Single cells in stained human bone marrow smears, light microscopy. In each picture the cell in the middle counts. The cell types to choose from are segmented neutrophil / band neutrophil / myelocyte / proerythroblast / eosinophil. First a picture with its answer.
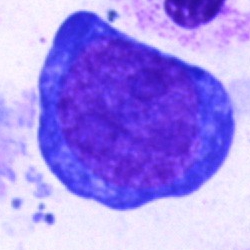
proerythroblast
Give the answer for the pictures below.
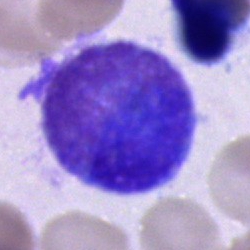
eosinophil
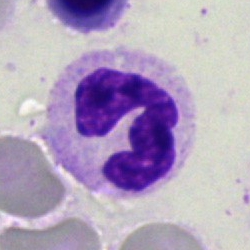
segmented neutrophil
